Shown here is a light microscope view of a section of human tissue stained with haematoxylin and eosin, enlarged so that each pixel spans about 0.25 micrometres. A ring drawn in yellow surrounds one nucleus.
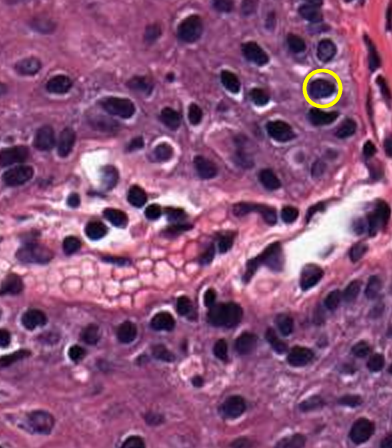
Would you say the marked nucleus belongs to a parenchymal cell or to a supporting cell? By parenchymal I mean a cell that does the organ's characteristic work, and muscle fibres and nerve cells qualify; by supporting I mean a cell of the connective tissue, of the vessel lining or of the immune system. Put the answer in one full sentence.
The marked nucleus is the nucleus of a parenchymal cell, namely a squamous epithelial cell.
